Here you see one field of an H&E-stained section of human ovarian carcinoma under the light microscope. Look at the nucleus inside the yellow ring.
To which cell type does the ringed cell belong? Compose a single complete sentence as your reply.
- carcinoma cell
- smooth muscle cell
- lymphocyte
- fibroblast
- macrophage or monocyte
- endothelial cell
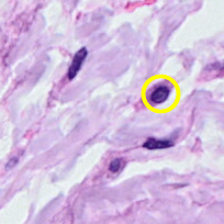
It is as a macrophage or monocyte that the ringed cell is recorded.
